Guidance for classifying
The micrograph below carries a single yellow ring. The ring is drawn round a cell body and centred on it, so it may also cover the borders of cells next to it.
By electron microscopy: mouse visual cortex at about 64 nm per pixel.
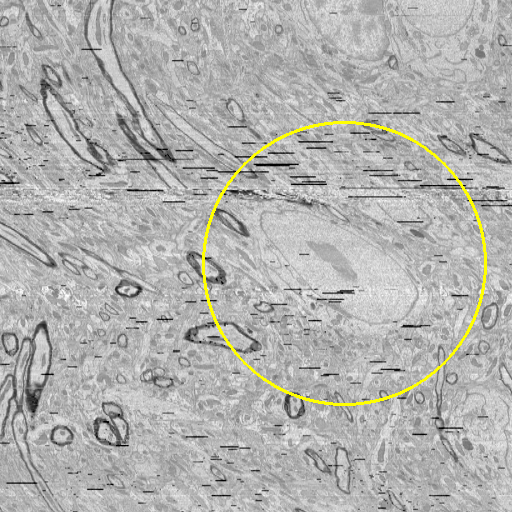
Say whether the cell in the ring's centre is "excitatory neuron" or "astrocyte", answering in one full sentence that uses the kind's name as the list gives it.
Within the yellow ring, an excitatory neuron is the cell whose body sits at the centre.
